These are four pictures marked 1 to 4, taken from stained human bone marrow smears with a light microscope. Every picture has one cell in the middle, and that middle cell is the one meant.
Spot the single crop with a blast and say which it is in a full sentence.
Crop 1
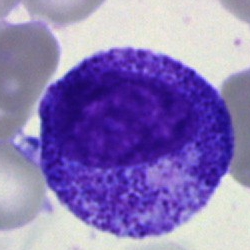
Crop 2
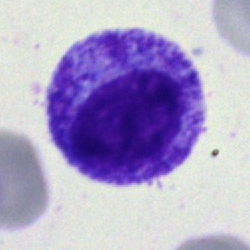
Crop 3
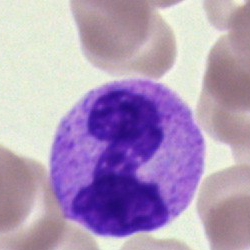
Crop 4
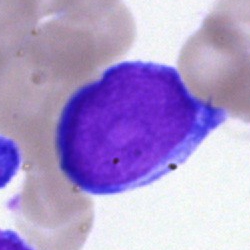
The crop marked 4 is the one that shows a blast.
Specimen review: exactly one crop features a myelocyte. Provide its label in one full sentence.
So the crop with a myelocyte at its center is crop 2.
